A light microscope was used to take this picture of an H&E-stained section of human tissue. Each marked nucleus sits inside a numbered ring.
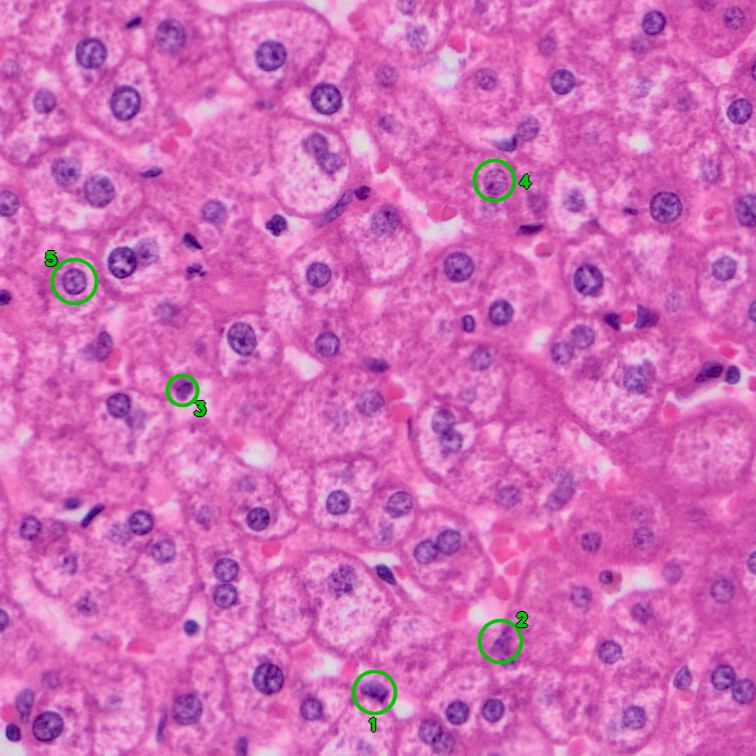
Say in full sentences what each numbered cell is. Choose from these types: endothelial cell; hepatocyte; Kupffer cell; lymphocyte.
Cells 1 and 2 are endothelial cells. Cell 3 is a Kupffer cell. Cells 4 and 5 are hepatocytes.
